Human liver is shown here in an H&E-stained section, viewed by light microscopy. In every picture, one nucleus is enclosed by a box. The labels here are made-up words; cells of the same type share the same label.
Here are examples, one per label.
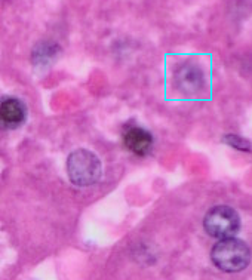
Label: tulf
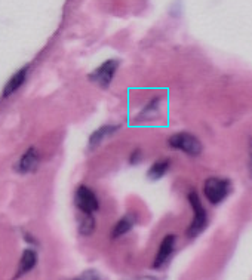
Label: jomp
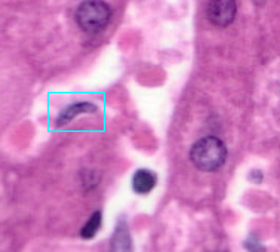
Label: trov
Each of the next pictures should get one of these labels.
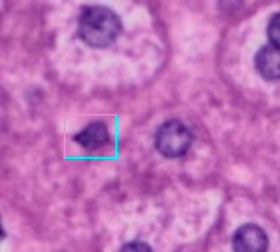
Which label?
trov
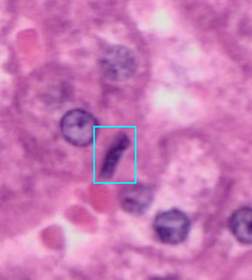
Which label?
jomp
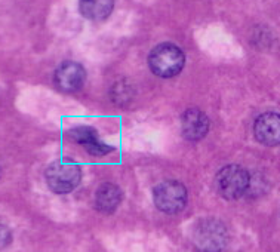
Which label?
trov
